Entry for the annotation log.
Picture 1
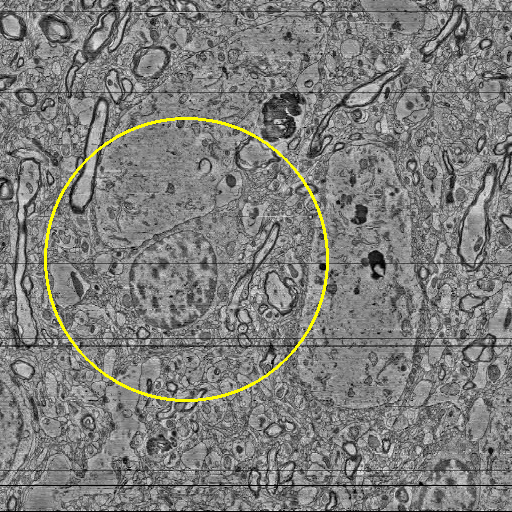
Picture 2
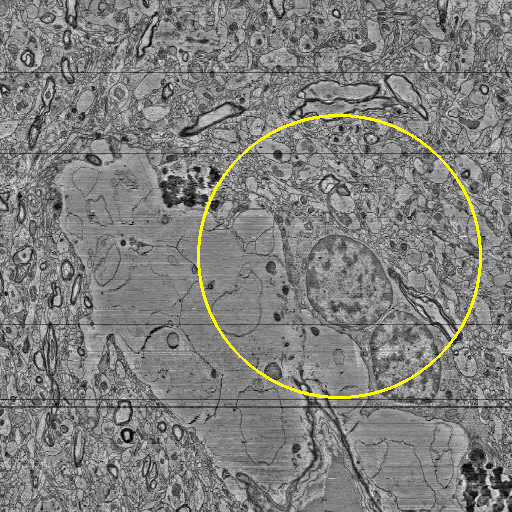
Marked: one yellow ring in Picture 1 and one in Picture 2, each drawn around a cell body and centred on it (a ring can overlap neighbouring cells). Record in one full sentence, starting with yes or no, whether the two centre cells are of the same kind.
Yes, both cells are of the same kind.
